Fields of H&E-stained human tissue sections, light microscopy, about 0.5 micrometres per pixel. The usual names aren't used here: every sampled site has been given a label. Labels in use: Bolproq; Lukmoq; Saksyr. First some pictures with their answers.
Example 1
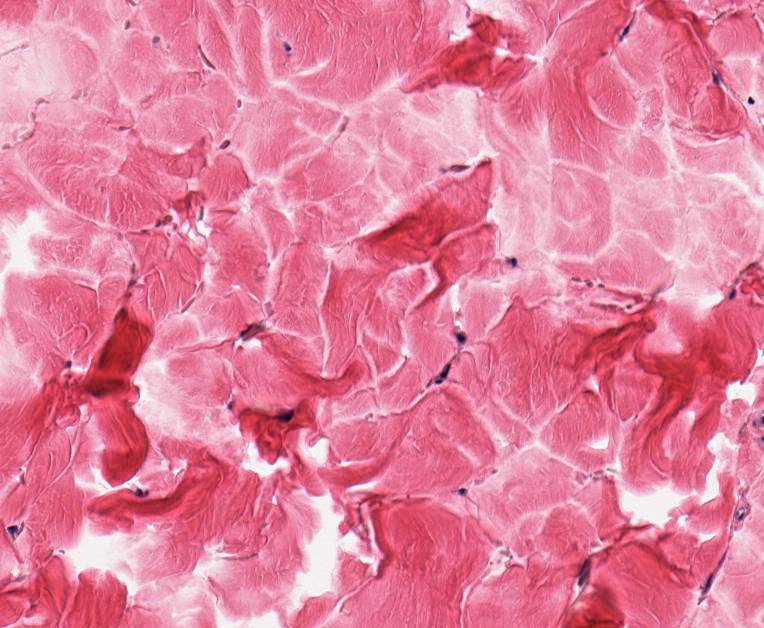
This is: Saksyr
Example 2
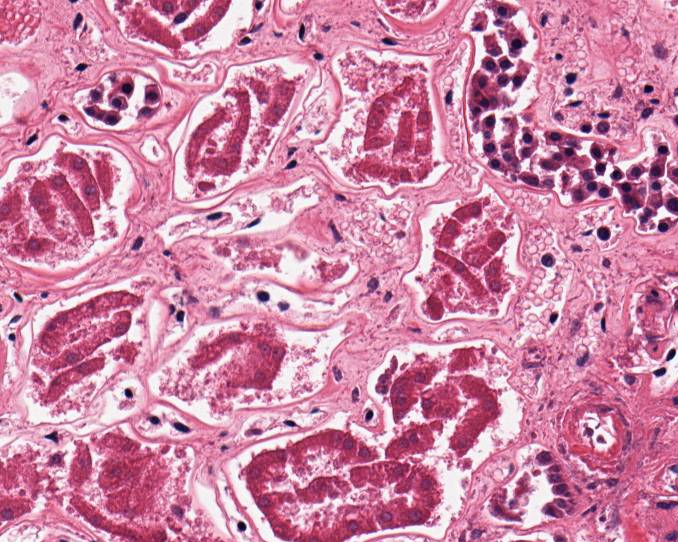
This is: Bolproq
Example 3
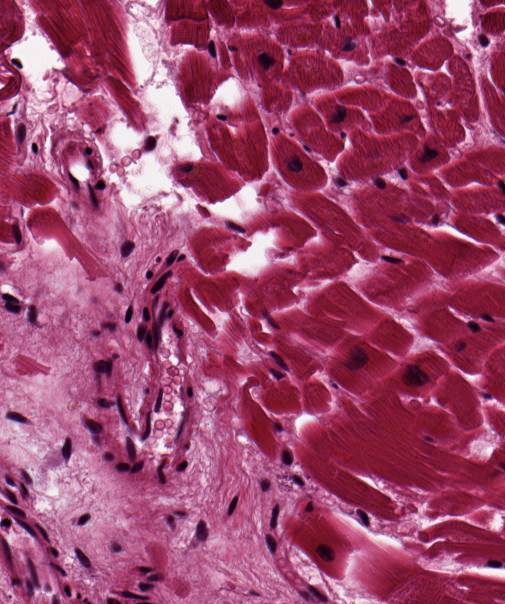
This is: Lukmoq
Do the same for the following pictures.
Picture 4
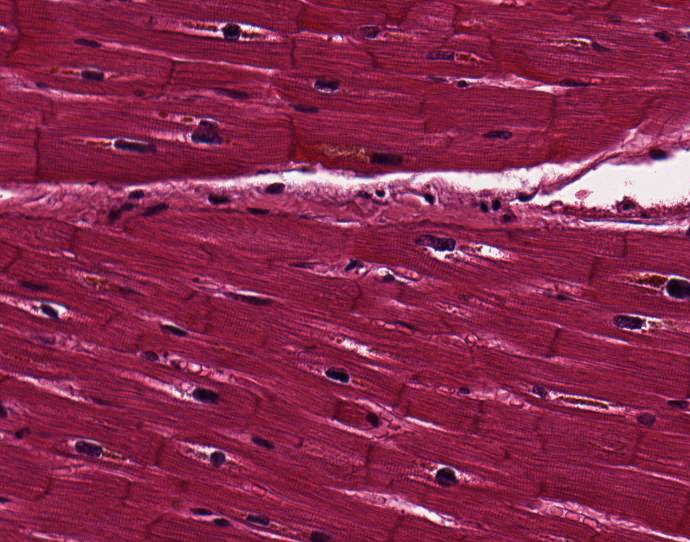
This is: Lukmoq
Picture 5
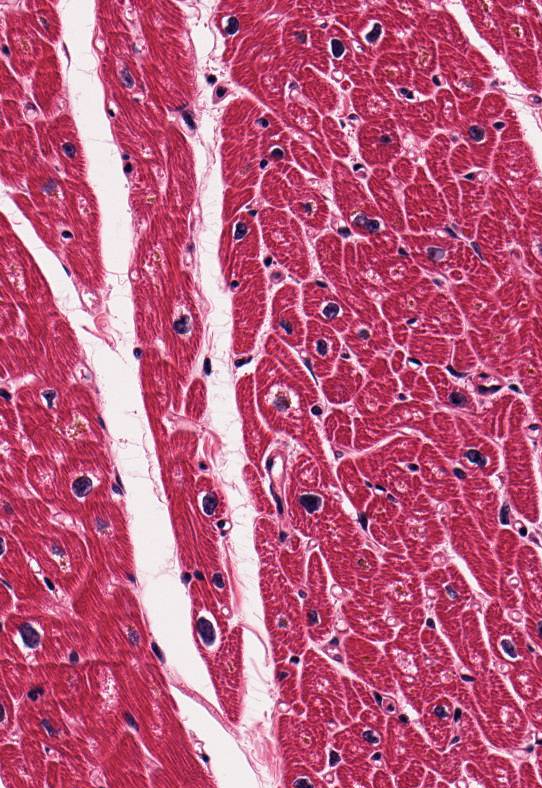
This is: Lukmoq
